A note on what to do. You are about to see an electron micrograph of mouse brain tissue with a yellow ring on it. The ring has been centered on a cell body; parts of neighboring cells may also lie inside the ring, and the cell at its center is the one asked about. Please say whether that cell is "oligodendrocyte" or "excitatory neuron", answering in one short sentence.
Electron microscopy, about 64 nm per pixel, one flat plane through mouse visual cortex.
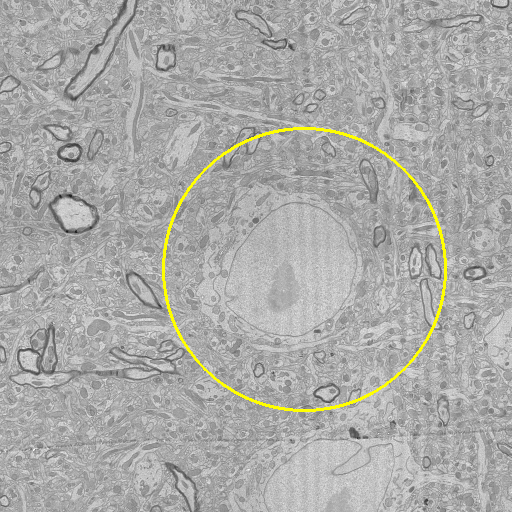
The yellow ring sits on an excitatory neuron.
